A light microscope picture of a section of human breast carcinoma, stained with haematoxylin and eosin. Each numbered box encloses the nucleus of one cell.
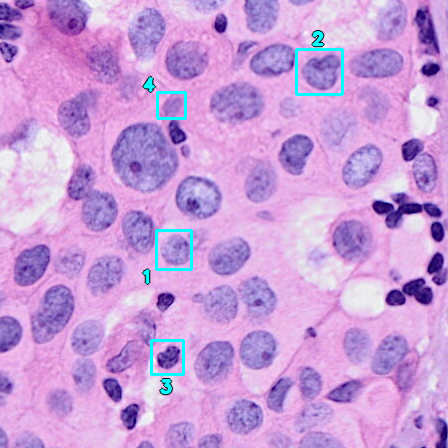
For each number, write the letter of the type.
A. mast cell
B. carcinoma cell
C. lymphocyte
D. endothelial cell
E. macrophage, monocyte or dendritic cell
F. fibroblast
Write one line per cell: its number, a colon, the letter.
1: B
2: B
3: C
4: B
